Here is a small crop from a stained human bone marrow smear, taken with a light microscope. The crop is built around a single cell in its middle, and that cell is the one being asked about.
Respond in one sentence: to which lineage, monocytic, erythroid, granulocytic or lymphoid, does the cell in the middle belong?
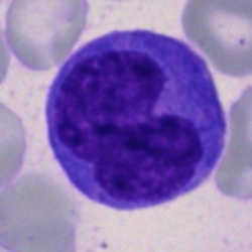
Recorded as monocytic in lineage is the cell in the middle of the crop.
